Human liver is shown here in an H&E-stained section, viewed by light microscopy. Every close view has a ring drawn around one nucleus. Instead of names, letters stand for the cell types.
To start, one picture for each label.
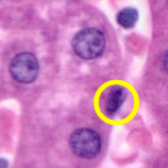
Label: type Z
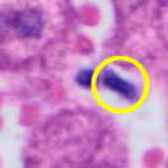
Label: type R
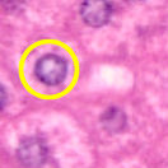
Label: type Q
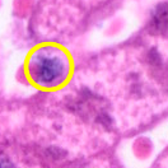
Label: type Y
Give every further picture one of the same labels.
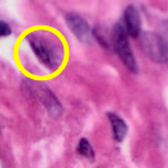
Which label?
type Z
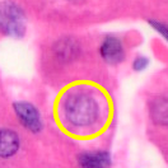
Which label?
type Q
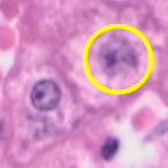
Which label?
type Q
